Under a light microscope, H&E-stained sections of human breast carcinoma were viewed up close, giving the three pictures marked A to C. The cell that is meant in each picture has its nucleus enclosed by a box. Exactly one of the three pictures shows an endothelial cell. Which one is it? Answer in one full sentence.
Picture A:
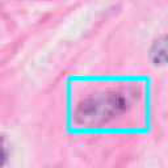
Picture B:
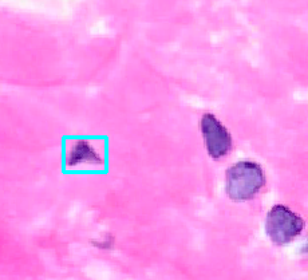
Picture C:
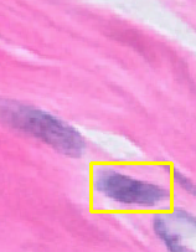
The picture with the endothelial cell is C.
